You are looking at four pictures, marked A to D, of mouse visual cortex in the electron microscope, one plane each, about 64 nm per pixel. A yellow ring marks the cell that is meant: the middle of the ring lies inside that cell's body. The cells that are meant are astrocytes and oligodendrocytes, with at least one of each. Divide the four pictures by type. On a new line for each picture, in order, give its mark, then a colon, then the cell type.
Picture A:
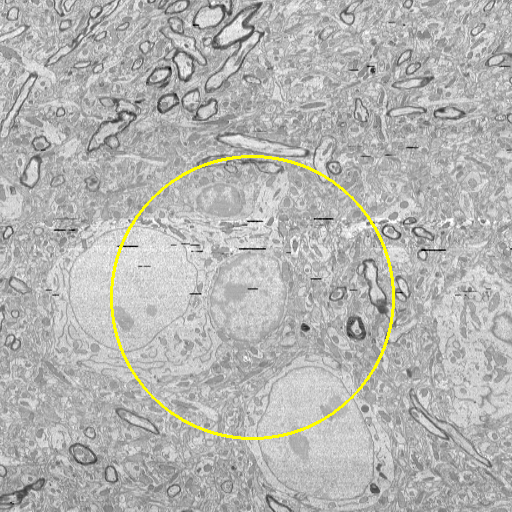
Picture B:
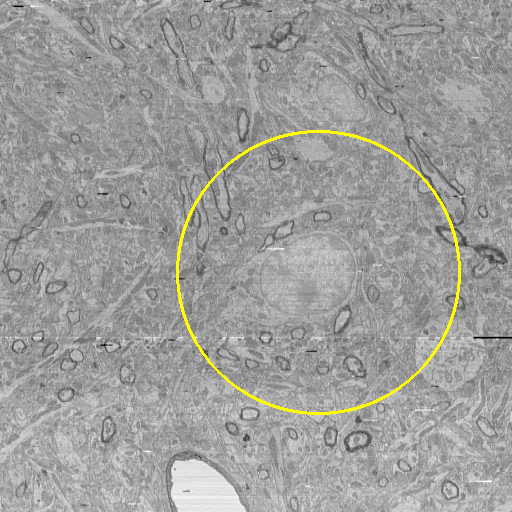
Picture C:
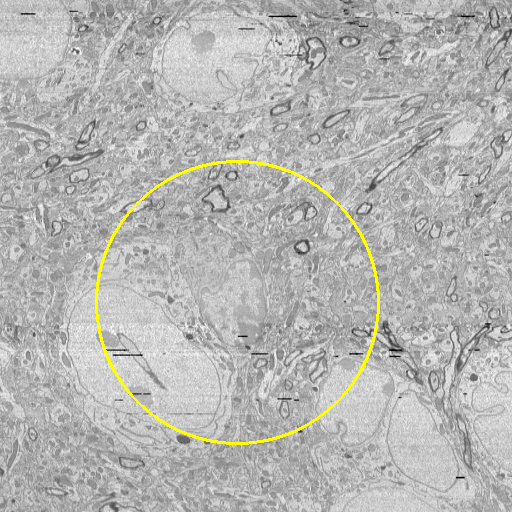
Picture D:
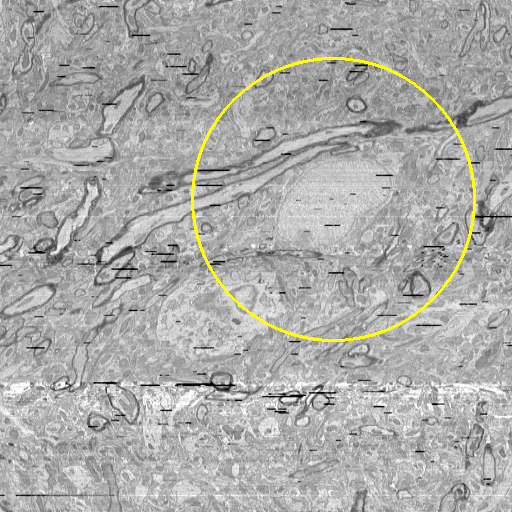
A: oligodendrocyte
B: oligodendrocyte
C: oligodendrocyte
D: astrocyte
